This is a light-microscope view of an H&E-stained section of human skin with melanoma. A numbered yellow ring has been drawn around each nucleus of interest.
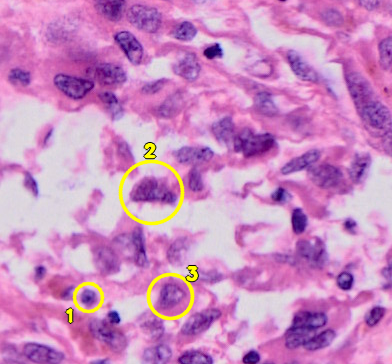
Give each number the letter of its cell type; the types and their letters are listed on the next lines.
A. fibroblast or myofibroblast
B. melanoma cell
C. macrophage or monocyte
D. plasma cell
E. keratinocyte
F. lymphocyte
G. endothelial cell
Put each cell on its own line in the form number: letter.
1: F
2: B
3: B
